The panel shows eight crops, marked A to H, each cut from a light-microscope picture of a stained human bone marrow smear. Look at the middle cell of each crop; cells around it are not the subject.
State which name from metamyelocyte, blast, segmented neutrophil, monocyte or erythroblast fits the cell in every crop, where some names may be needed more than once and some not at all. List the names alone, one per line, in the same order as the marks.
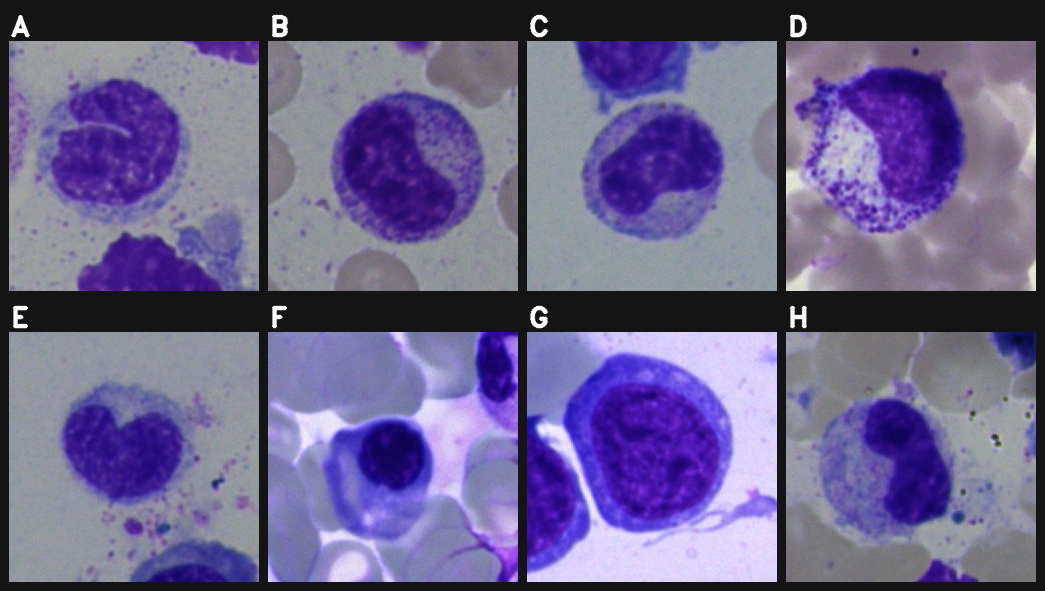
monocyte
metamyelocyte
metamyelocyte
metamyelocyte
metamyelocyte
erythroblast
blast
metamyelocyte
